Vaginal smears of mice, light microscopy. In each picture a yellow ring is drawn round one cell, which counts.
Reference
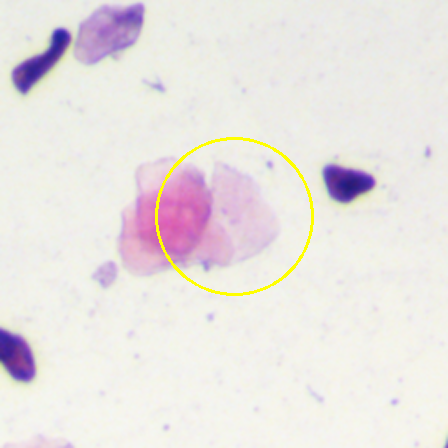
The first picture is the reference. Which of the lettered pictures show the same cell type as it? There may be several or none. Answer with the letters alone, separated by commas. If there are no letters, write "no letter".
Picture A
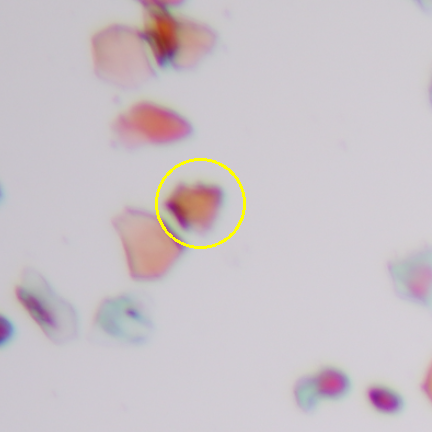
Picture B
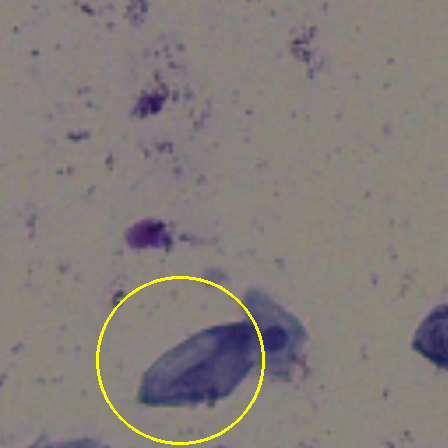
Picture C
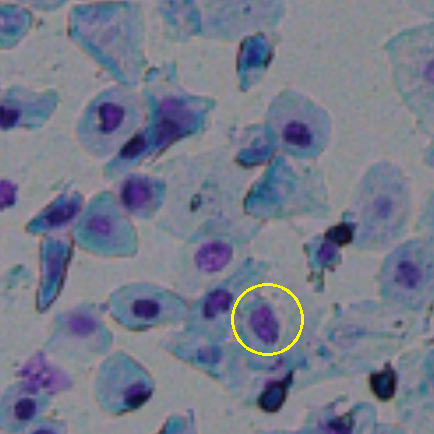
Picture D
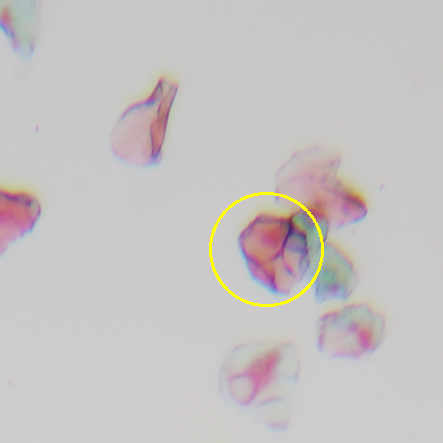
A, B, D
